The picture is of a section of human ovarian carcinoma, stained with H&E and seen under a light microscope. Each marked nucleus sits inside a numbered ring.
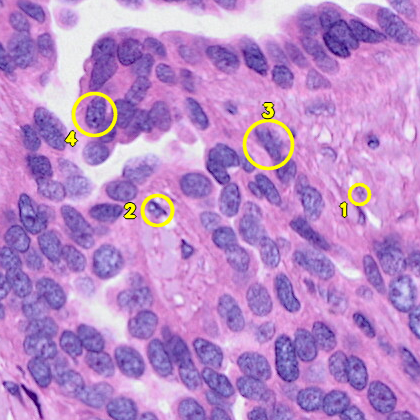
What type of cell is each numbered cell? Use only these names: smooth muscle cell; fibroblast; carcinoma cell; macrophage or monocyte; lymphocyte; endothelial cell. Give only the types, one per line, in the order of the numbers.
fibroblast
fibroblast
fibroblast
carcinoma cell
